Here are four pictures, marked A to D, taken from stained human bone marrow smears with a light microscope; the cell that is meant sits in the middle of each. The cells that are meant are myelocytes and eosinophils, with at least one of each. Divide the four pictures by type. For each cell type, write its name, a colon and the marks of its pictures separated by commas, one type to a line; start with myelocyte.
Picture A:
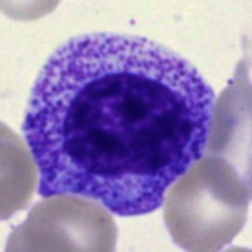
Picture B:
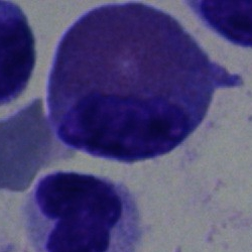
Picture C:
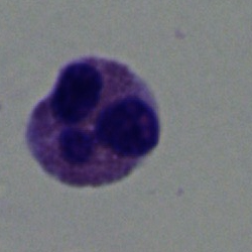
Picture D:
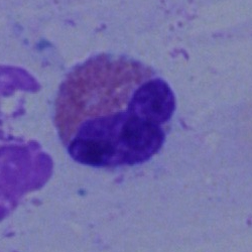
myelocyte: A
eosinophil: B, C, D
